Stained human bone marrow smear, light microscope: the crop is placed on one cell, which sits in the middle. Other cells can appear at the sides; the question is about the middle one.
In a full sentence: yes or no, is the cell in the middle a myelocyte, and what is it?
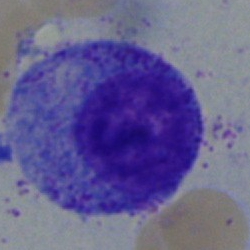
Yes, the cell of interest in the centre is a myelocyte.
